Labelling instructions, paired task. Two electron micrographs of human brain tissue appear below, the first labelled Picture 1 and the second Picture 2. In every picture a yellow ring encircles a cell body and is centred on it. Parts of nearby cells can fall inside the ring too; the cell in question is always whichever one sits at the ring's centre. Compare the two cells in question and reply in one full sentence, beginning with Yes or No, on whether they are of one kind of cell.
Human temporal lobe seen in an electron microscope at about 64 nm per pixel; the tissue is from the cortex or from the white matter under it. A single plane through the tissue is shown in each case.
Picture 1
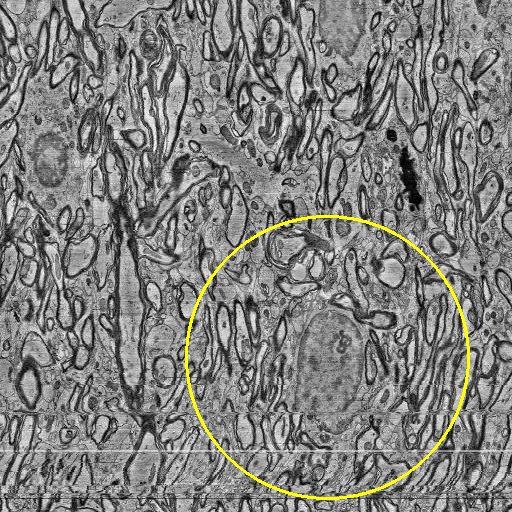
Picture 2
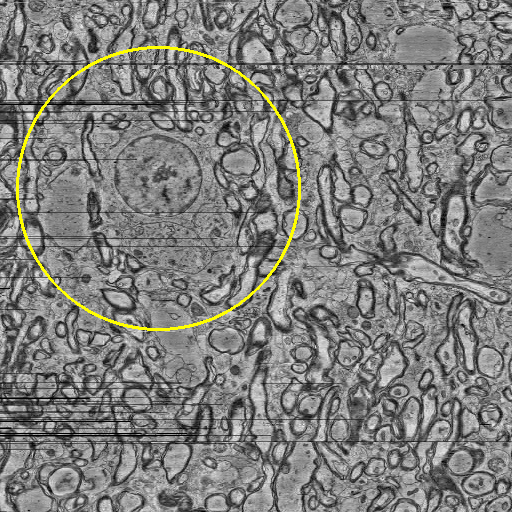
No, the two cells at the ring centres in Picture 1 and Picture 2 are of two kinds.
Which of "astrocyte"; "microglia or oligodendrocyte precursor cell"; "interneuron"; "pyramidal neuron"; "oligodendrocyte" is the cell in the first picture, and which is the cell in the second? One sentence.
The two differ: the first cell is an oligodendrocyte and the second is a microglial cell or oligodendrocyte precursor cell.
